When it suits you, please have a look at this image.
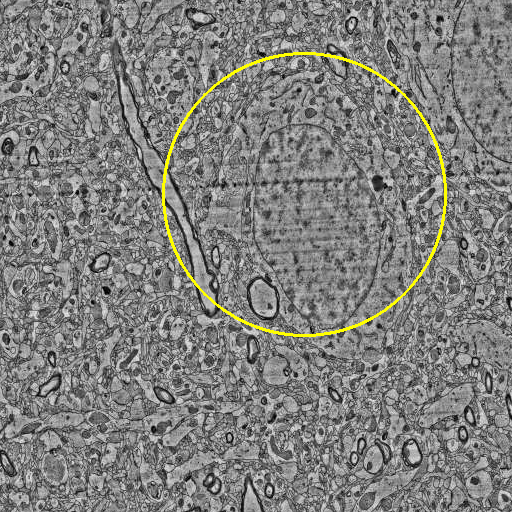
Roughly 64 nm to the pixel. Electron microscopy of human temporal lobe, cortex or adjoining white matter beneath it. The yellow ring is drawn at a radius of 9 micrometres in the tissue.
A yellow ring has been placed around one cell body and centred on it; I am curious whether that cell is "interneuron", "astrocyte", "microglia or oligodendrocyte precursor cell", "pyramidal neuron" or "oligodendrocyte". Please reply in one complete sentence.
The ringed cell, an interneuron, has its body at the centre of the yellow ring.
